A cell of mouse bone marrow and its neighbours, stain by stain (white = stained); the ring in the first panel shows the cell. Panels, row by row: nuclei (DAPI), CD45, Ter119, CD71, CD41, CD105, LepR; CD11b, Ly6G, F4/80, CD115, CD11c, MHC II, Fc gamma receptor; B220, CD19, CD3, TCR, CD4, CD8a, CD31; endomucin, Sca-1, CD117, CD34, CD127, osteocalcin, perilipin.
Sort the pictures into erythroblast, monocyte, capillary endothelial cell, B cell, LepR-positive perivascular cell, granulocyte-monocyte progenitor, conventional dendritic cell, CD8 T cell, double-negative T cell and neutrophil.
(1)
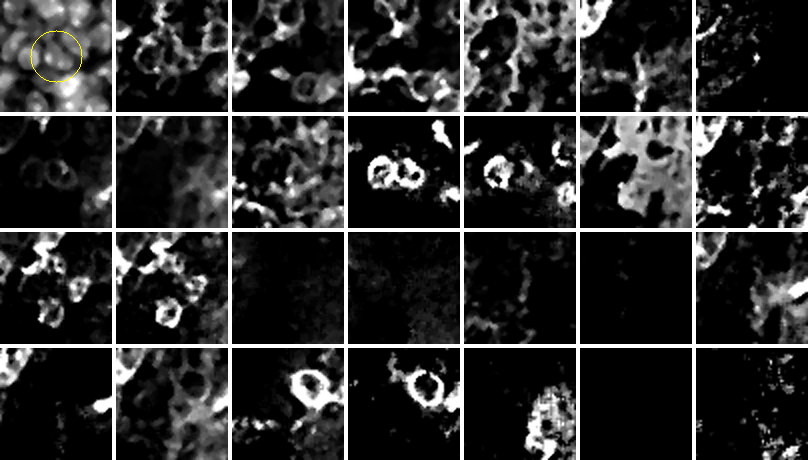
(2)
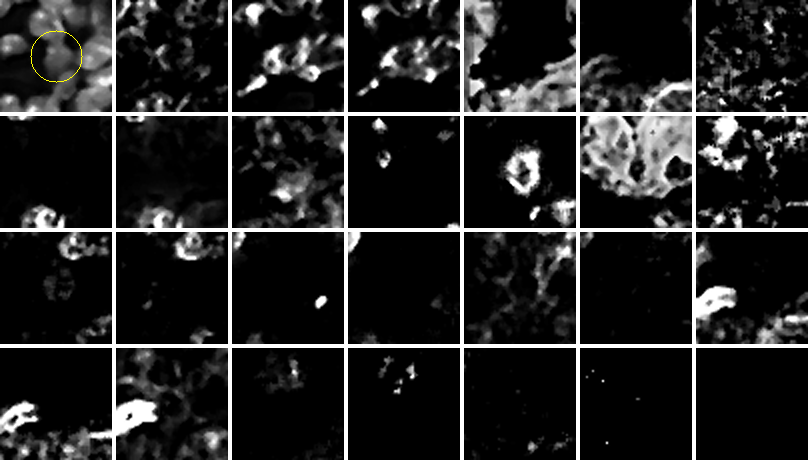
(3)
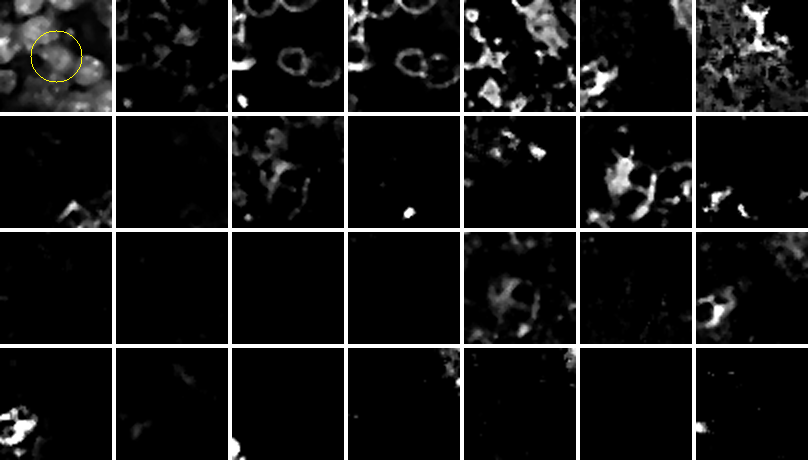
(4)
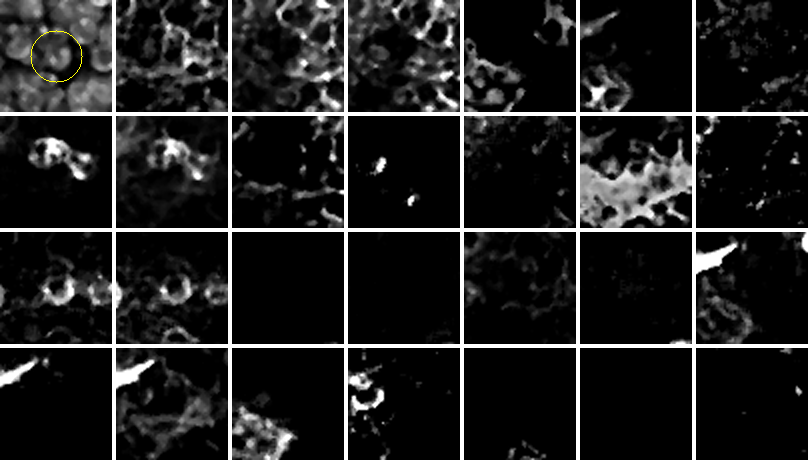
Monocytes: 1
Conventional dendritic cells: 2
LepR-positive perivascular cells: 3
B cells: 4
